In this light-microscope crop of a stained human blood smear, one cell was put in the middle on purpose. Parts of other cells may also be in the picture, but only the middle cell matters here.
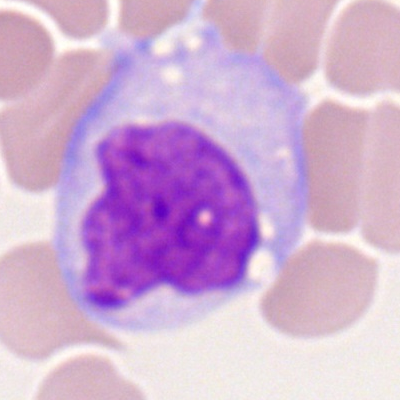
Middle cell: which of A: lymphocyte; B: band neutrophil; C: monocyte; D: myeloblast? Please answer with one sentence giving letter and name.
With the cell in the middle being a monocyte, option C is the correct choice.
